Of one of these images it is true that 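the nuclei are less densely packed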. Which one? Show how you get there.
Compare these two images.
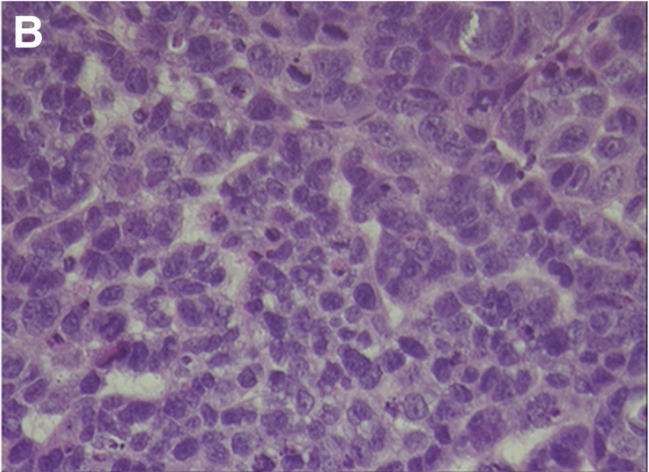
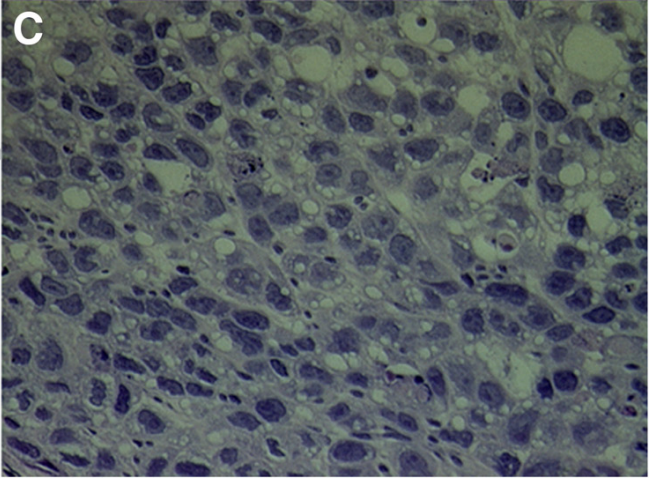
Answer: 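The second image. Second image: nuclei are spaced apart with cytoplasm and clear spaces between them. First image: nuclei crowd the field, nearly touching one another.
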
